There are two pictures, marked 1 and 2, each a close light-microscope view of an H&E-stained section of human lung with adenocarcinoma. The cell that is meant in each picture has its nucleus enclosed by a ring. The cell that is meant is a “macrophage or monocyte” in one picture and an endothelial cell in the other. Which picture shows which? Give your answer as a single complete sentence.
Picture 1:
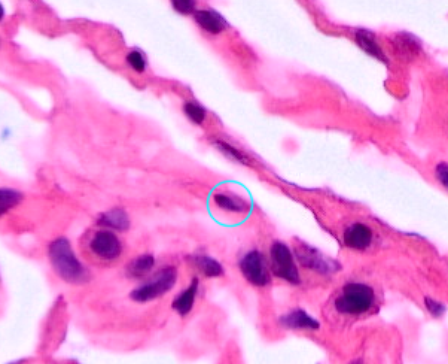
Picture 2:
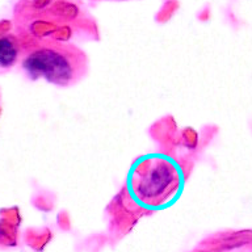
Picture 1 is of an endothelial cell, and picture 2 is of a “macrophage or monocyte”.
